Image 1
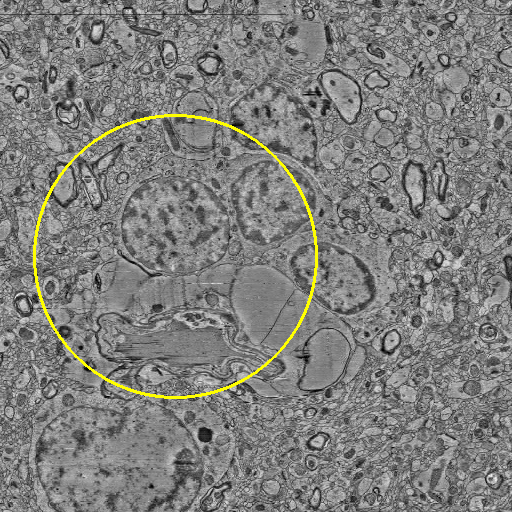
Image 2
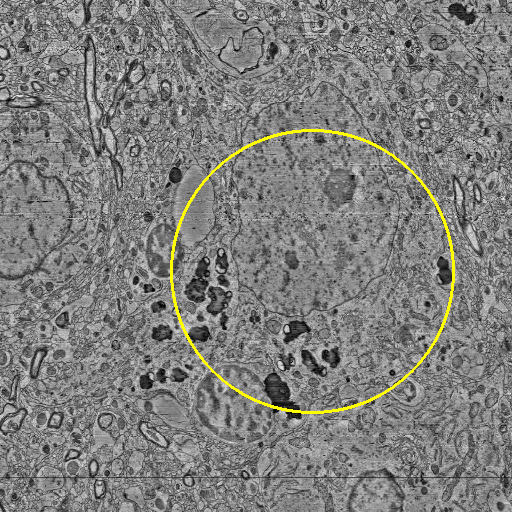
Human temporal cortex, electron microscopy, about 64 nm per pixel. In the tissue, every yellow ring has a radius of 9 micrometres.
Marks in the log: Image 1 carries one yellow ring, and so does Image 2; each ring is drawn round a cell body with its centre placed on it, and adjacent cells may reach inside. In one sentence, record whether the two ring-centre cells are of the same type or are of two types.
The two cells at the ring centres, one in each image, are of two types.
